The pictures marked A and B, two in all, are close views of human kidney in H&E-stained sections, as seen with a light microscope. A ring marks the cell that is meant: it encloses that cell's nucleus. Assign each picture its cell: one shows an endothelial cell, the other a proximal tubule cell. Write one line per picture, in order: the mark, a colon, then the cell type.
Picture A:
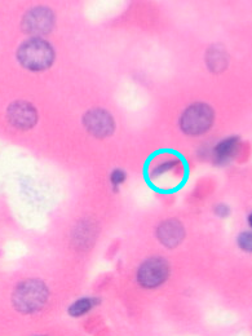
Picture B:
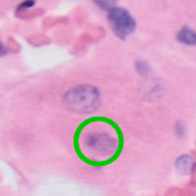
A: endothelial cell
B: proximal tubule cell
